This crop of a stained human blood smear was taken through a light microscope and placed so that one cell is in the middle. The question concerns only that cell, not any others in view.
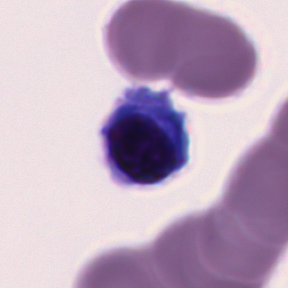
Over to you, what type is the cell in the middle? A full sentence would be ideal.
The cell positioned in the middle of the field is a plasma cell.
